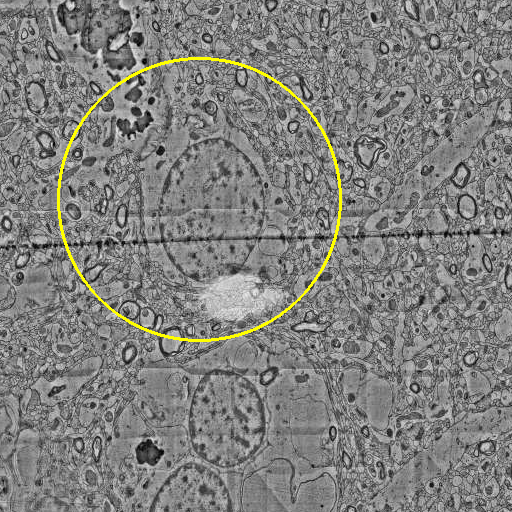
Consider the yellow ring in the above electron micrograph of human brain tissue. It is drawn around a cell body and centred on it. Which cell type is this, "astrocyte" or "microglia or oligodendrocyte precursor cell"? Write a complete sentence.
The cell in question is an astrocyte.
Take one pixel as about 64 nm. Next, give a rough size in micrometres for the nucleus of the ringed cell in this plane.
The nucleus comes to roughly 9 by 7 micrometres in this plane.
